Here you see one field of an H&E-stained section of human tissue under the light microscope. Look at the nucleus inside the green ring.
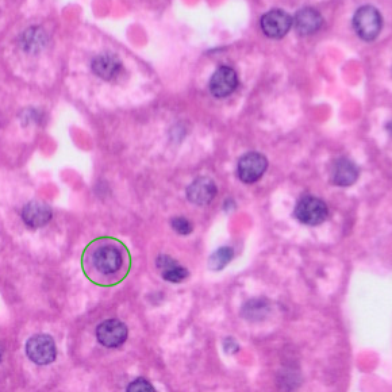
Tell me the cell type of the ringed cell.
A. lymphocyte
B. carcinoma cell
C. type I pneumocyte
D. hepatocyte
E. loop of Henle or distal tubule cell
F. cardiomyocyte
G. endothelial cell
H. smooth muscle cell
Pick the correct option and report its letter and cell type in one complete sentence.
Among the choices, option D is correct, the ringed cell being a hepatocyte.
